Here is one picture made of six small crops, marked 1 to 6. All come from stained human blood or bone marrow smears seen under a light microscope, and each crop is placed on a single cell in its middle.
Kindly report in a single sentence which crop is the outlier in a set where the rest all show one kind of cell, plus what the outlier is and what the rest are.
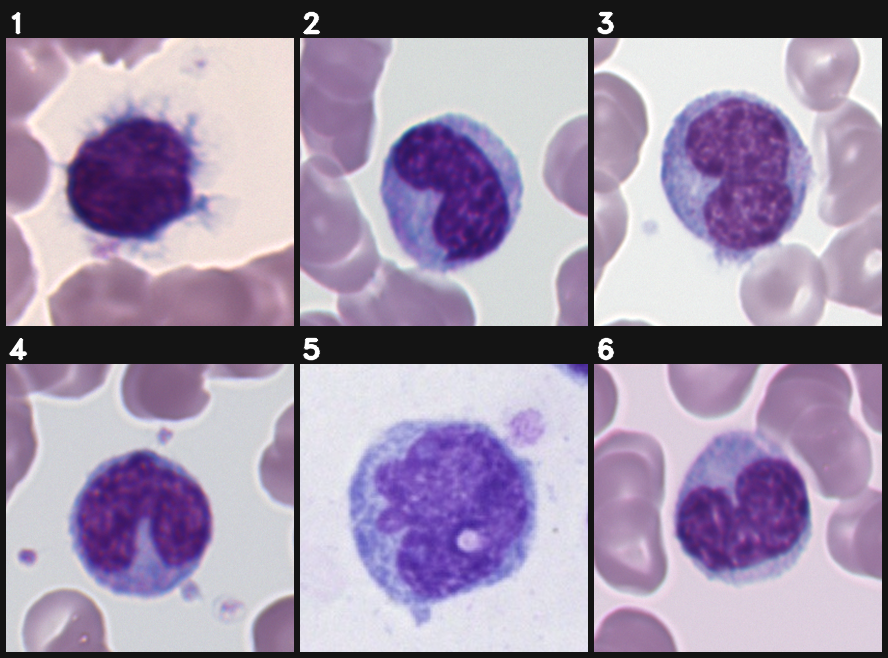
The set is made up of monocytes, with the single exception of crop 1, which is a hairy cell.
